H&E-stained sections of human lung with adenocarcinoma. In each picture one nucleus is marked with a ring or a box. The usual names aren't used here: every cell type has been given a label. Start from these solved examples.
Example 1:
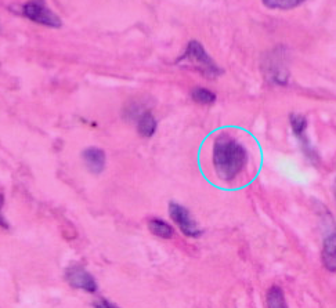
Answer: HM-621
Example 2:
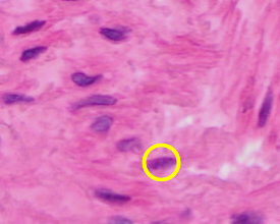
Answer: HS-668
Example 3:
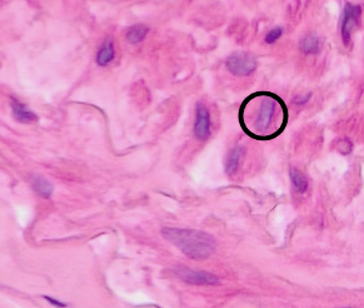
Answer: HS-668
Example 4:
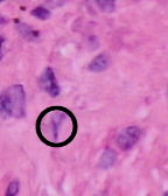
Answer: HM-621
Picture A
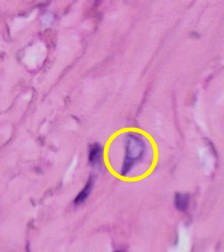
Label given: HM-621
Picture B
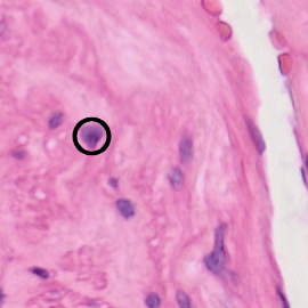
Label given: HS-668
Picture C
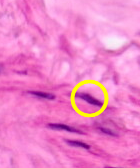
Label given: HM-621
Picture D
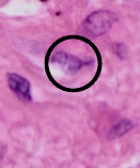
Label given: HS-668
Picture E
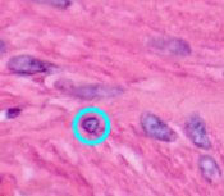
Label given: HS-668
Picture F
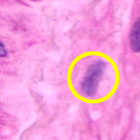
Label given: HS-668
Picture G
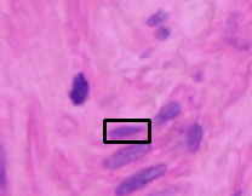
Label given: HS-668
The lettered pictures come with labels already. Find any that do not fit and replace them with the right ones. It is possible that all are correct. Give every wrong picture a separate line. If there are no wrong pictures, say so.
C: change HM-621 to HS-668
D: change HS-668 to HM-621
